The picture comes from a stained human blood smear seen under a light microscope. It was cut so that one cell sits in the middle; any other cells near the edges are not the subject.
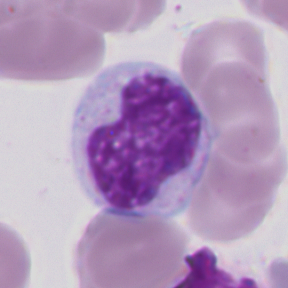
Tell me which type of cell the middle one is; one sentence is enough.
The crop centres on a single cell, and that cell is a metamyelocyte.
